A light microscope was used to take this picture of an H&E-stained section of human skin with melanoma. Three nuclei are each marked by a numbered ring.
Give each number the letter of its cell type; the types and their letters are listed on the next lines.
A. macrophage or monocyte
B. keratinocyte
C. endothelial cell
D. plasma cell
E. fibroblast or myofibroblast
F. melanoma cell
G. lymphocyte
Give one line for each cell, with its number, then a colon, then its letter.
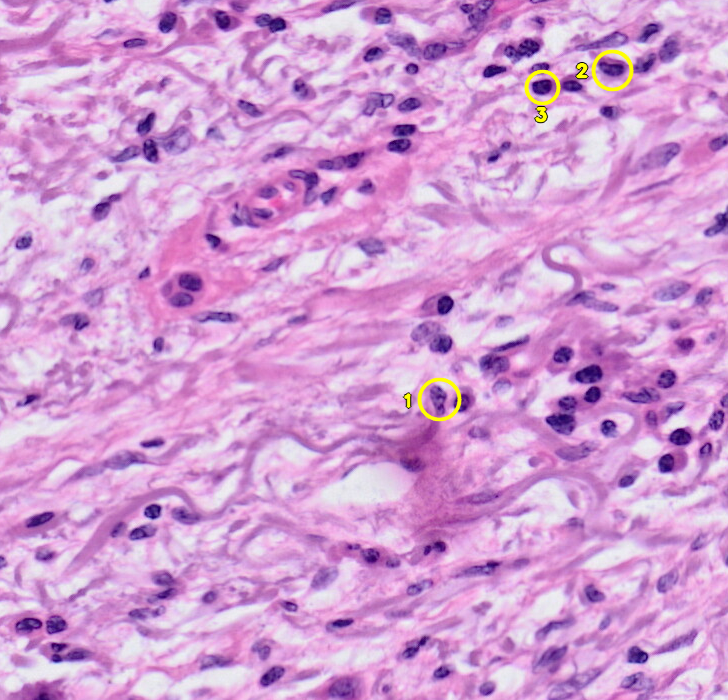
1: A
2: D
3: D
